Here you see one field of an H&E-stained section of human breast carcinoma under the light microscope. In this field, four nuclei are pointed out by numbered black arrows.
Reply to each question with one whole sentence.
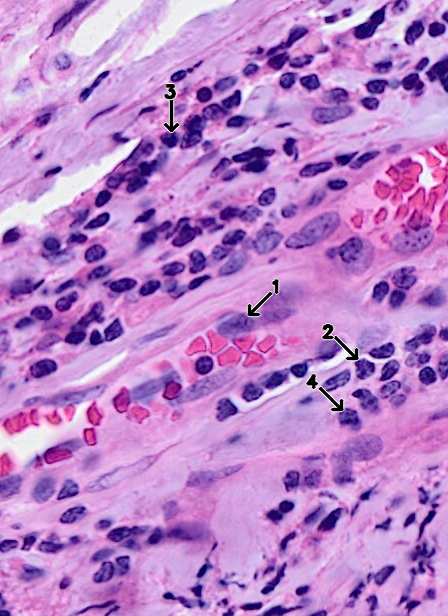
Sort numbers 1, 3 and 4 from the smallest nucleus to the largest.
The order from the smallest nucleus to the largest is 3, 4, 1.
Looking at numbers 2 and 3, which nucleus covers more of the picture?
Nucleus 2 covers more area, about 1.5 times as much as nucleus 3.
